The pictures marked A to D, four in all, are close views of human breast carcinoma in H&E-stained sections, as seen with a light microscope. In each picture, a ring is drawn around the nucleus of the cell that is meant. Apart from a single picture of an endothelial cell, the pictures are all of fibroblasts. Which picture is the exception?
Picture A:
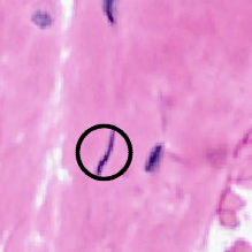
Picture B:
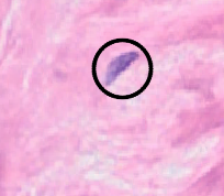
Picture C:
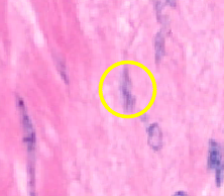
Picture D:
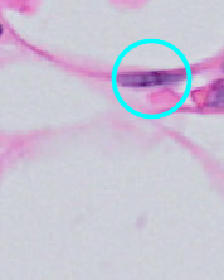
D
